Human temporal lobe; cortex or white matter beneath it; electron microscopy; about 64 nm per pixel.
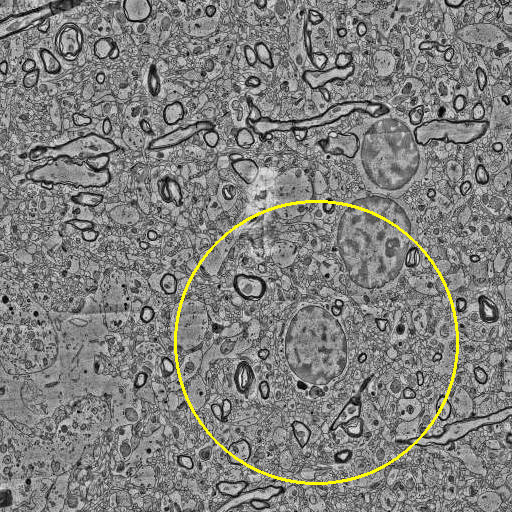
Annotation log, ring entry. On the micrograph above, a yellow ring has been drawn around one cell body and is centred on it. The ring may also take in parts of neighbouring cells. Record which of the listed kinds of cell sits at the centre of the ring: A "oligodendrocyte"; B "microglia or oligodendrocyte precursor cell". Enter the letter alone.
B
